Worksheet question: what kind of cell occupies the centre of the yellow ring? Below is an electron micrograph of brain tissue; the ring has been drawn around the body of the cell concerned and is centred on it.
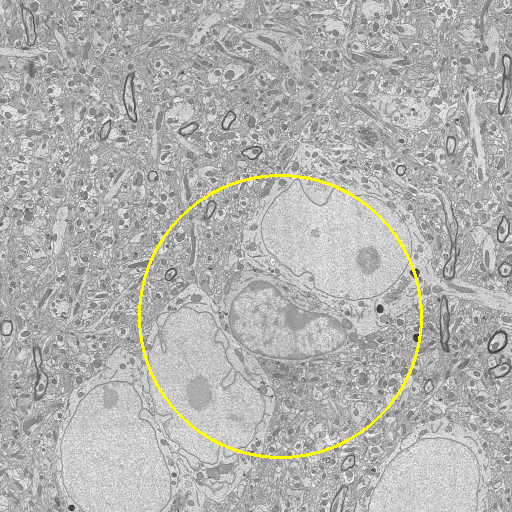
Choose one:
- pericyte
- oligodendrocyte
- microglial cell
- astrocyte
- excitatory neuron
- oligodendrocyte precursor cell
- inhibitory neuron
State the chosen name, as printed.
oligodendrocyte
